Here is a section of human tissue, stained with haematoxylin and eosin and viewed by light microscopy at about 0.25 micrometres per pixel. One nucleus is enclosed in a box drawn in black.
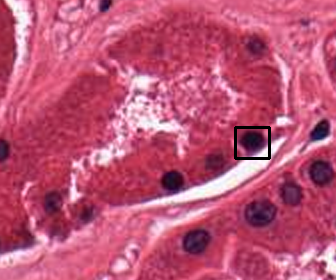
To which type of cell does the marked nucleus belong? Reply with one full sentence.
The marked nucleus here is the nucleus of a proximal tubule cell.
